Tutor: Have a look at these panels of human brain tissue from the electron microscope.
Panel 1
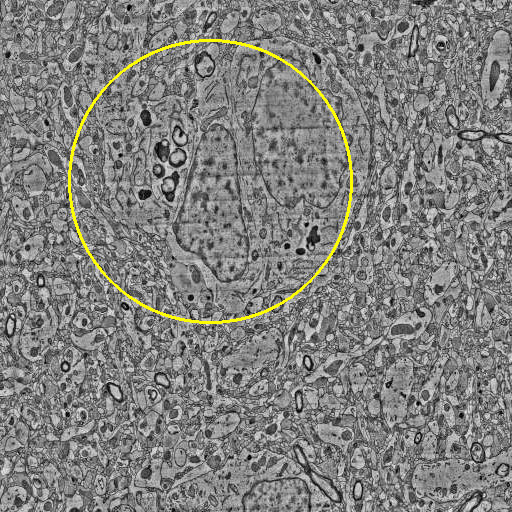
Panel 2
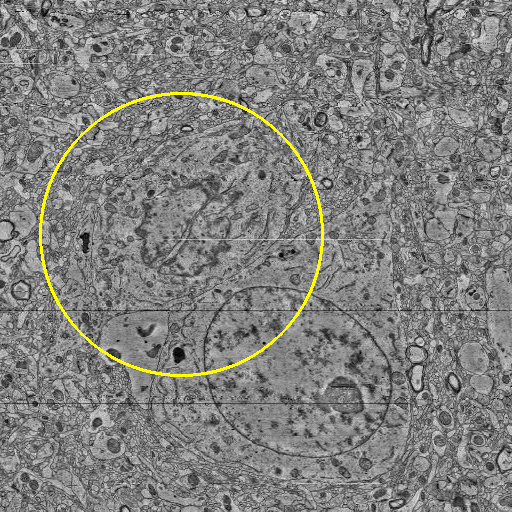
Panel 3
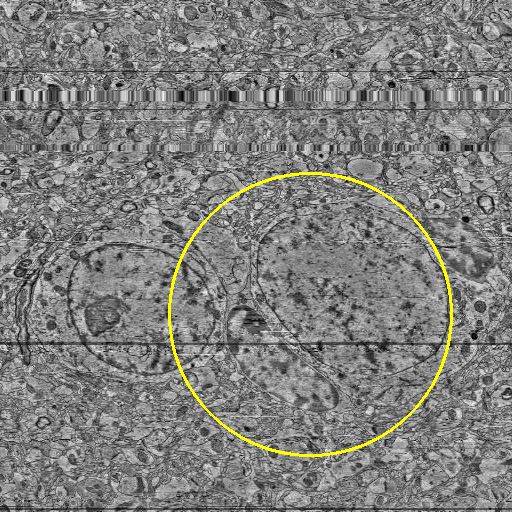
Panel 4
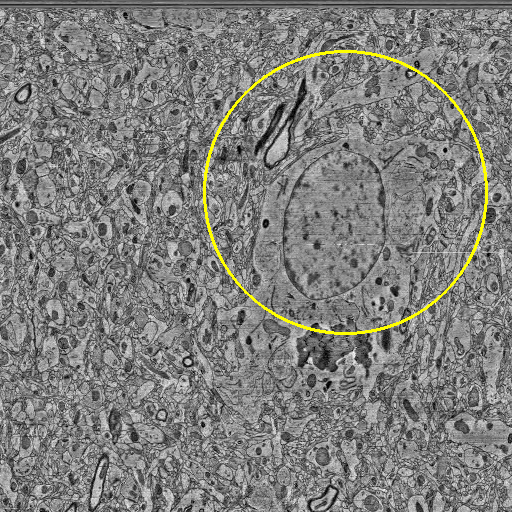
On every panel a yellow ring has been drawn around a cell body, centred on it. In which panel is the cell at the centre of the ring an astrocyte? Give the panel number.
4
